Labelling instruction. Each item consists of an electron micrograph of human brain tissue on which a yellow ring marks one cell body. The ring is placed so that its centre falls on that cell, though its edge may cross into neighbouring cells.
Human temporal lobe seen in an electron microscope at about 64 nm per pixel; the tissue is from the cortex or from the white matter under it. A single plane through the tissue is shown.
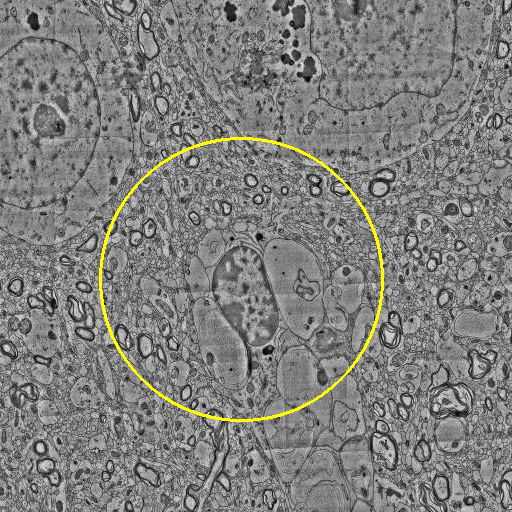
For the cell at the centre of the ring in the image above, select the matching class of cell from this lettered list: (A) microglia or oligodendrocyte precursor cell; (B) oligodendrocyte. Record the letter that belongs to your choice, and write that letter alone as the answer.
A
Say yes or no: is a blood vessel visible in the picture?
Yes, a vessel shows somewhere in the image.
